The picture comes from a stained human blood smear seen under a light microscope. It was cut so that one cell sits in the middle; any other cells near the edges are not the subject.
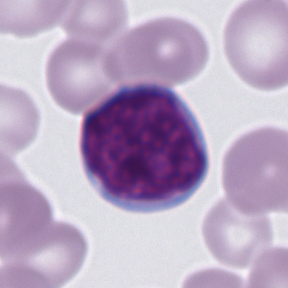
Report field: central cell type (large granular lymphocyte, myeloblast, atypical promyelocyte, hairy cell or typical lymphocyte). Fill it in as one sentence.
At the middle of the frame sits a typical lymphocyte.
